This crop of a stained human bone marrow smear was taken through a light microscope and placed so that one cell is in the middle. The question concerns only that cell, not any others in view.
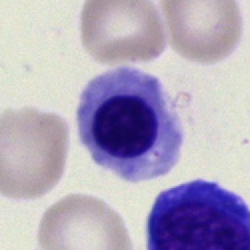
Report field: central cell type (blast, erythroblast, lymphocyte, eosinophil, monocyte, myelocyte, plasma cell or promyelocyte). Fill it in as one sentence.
The cell in the middle of this crop is an erythroblast.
